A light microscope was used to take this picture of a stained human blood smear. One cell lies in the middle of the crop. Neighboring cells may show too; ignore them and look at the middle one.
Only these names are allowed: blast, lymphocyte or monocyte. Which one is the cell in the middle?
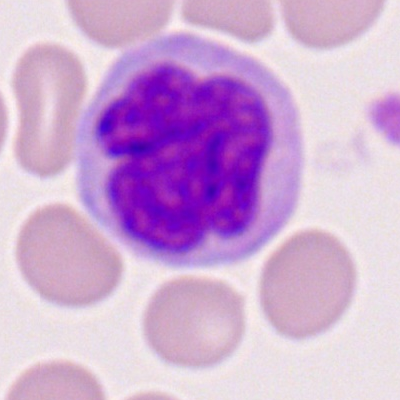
monocyte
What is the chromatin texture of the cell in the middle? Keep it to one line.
The chromatin in this nucleus is coarsely clumped.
